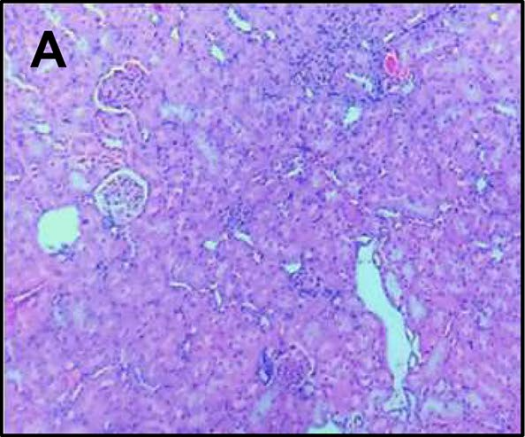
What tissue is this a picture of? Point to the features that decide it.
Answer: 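Several round tufts of capillaries sit inside clear spaces bounded by a thin capsule. The tissue between them is packed with cross-sectioned tubules lined by pink cells. A longer clear channel runs through the tissue. That points to this answer: kidney.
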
